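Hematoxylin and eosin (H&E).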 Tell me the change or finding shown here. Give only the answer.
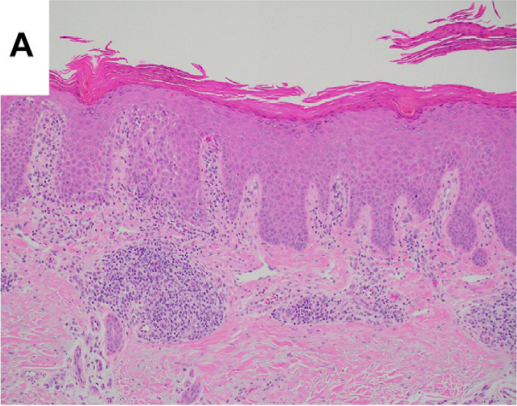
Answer: irregular psoriasiform hyperplasia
